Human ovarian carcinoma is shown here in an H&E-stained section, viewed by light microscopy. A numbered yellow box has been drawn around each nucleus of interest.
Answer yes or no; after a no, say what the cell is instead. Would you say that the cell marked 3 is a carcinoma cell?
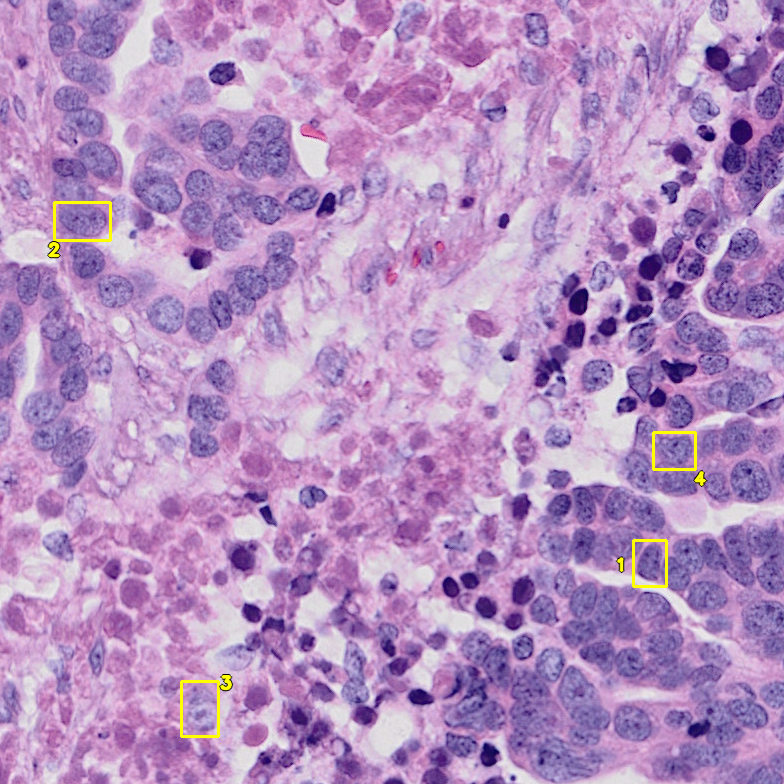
No, it is a fibroblast.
